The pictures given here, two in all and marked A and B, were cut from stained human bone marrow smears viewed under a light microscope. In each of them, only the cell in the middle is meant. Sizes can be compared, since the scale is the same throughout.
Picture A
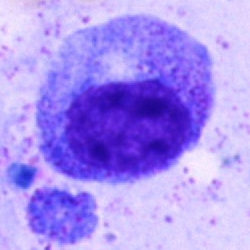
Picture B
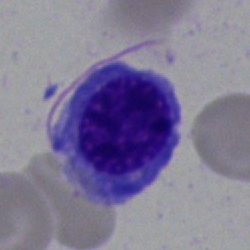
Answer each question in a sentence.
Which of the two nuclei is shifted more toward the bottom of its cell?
The nucleus in picture A lies further toward the bottom of its cell.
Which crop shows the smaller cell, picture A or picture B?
The cell in picture B is smaller; the one in picture A has about 1.5 times its area.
